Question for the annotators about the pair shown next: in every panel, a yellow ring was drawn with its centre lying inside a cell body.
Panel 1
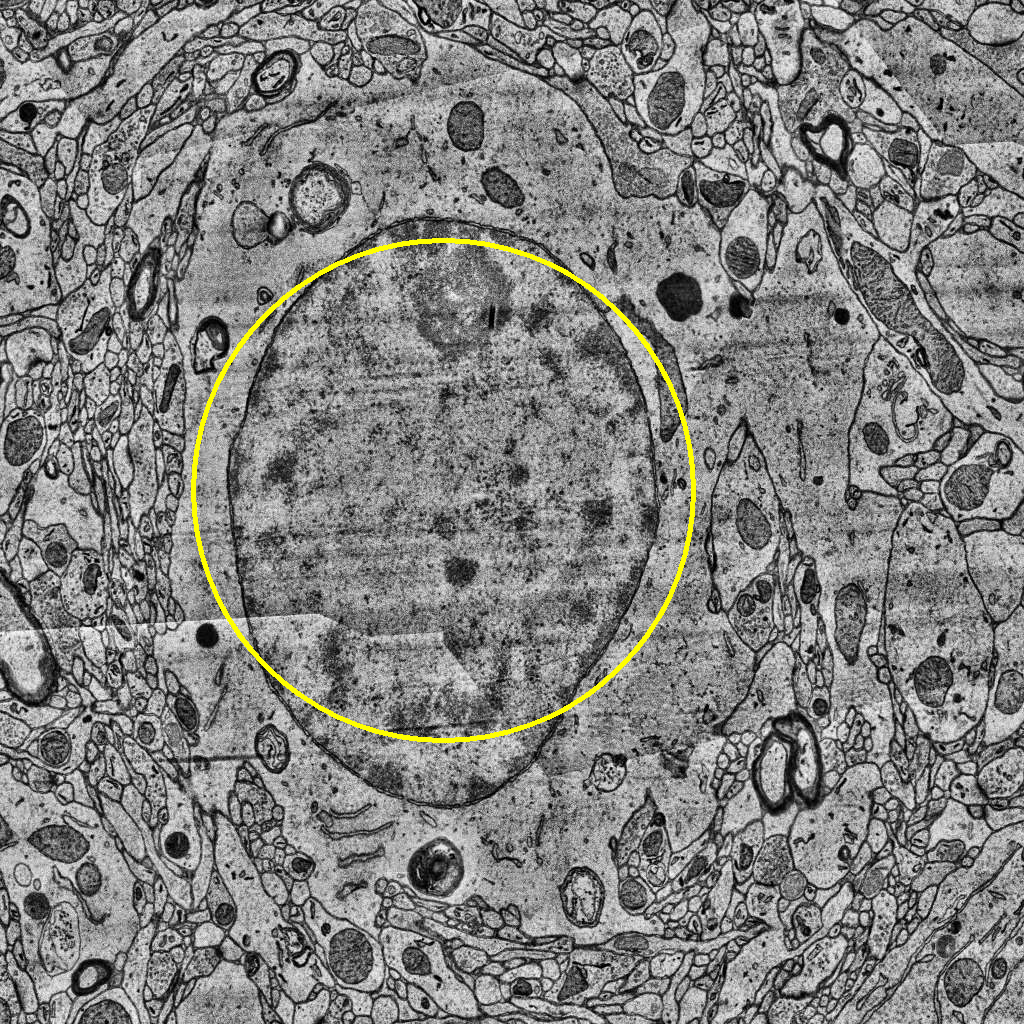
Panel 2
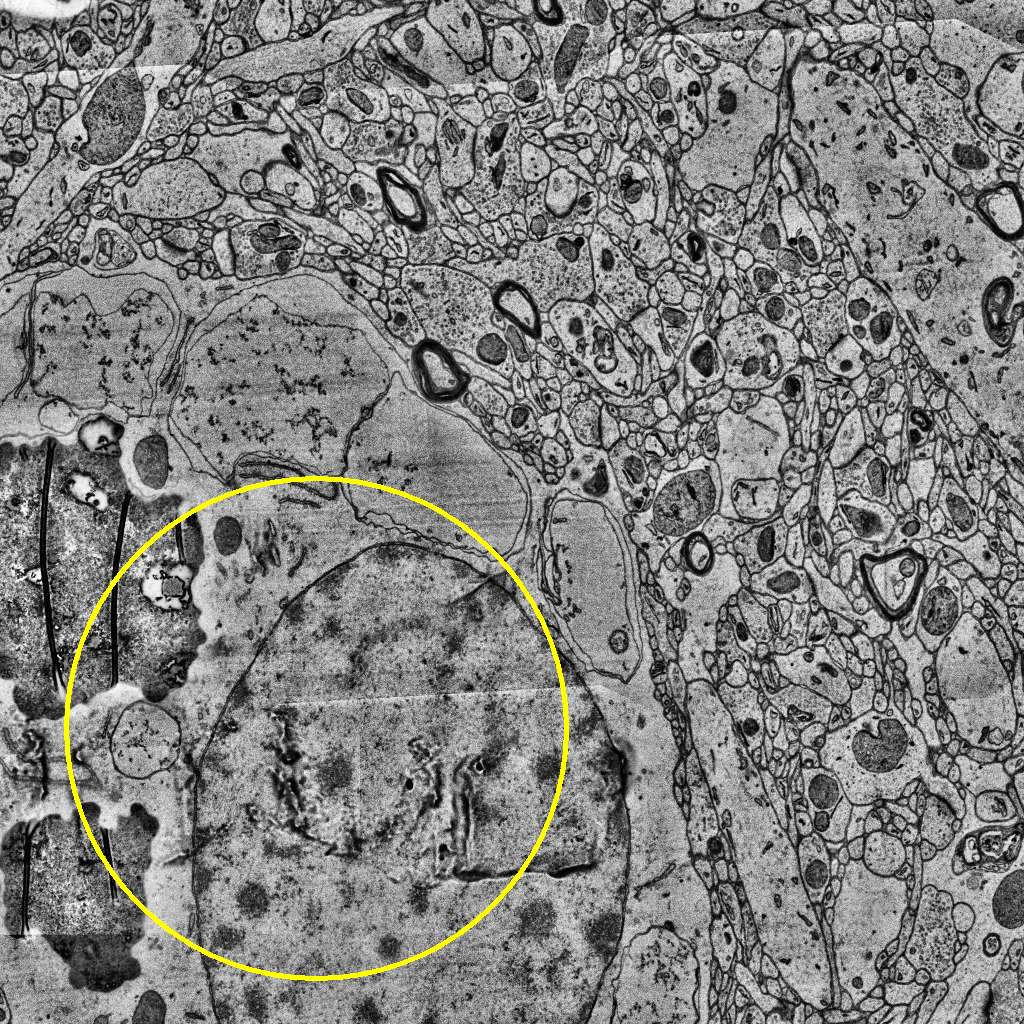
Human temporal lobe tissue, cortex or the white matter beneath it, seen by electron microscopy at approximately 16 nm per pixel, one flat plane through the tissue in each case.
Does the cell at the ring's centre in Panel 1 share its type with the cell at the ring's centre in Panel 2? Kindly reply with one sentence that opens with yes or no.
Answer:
Yes, in Panels 1 and 2 the cells at the ring centres belong to a single type.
